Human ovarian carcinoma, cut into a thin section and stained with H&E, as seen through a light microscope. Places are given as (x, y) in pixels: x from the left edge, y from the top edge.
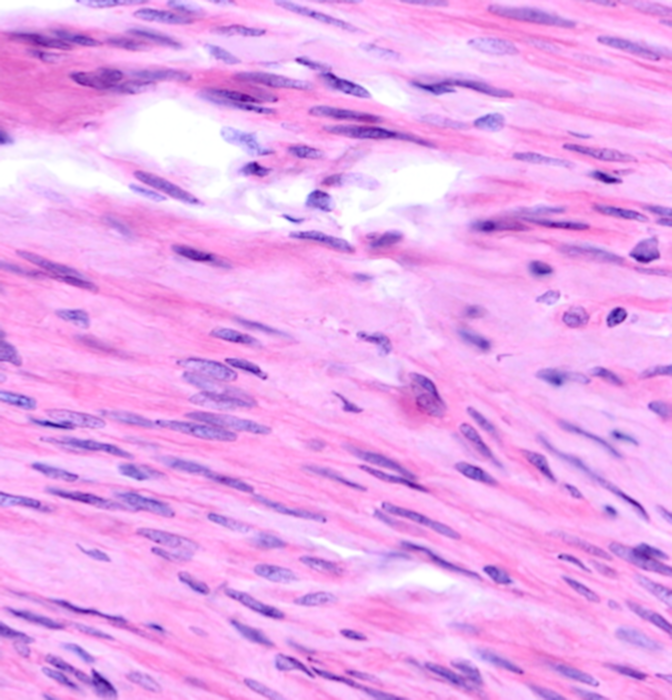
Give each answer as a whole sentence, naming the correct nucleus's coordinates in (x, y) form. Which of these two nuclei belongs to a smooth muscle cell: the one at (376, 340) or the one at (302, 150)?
Only the nucleus at (302, 150), of the two, belongs to a smooth muscle cell.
